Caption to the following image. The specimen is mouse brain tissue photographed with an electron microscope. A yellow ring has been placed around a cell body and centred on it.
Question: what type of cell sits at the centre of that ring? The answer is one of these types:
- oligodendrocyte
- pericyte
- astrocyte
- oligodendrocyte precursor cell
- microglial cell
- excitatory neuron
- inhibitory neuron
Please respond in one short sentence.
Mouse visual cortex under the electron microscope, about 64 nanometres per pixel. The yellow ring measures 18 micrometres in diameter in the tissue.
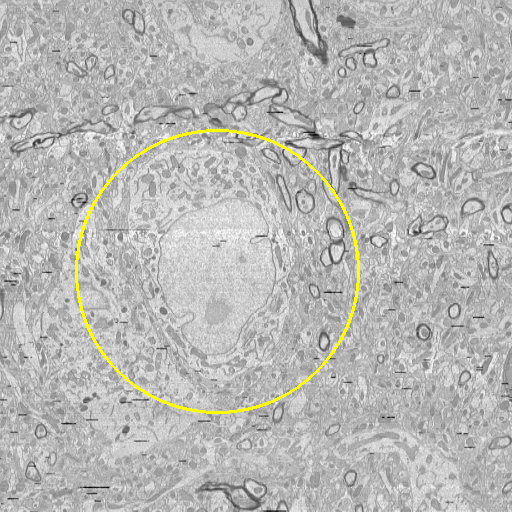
The ring surrounds the cell body of an inhibitory neuron.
